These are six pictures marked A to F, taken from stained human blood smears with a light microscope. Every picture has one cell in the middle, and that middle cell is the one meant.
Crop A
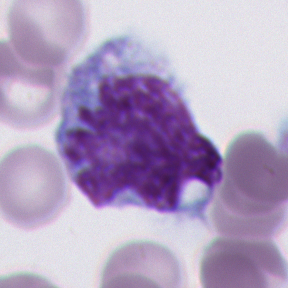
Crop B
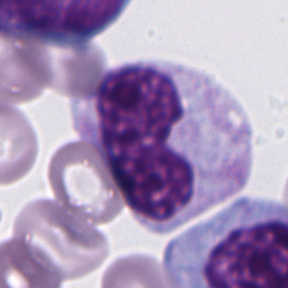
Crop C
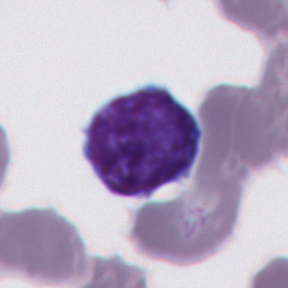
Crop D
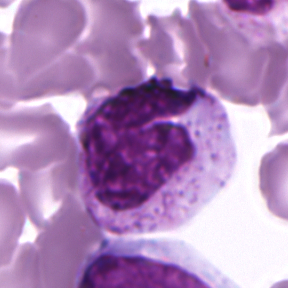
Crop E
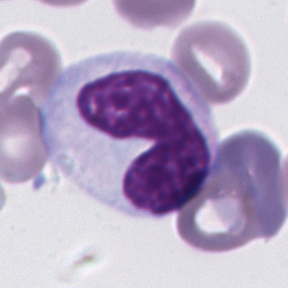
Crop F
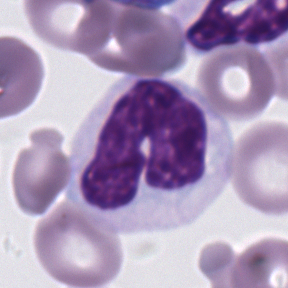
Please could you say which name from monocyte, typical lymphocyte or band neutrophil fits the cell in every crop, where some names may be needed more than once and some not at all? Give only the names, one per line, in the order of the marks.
monocyte
band neutrophil
typical lymphocyte
band neutrophil
band neutrophil
band neutrophil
